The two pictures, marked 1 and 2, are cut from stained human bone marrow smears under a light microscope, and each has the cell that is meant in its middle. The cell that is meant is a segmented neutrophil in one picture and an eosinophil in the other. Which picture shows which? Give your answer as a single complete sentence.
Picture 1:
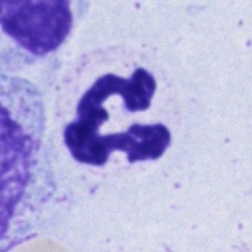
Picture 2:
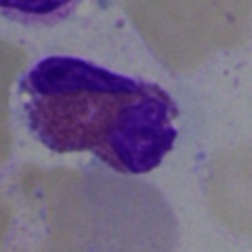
Picture 1 is of a segmented neutrophil, and picture 2 is of an eosinophil.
